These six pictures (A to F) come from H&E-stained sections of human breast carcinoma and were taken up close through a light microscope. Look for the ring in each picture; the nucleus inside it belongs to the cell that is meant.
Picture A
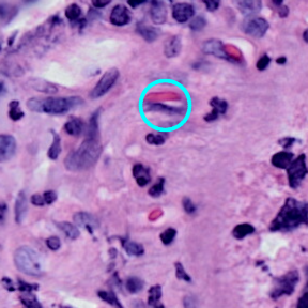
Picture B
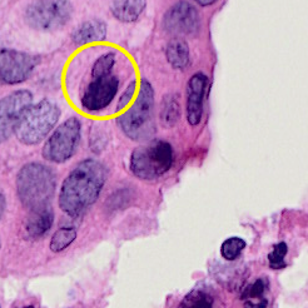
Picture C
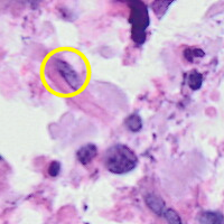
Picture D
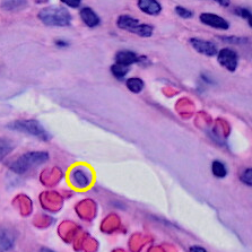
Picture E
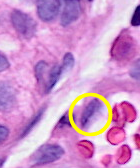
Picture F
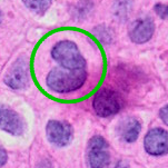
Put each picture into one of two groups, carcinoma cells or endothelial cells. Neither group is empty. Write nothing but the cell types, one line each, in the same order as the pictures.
endothelial cell
carcinoma cell
endothelial cell
endothelial cell
endothelial cell
carcinoma cell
